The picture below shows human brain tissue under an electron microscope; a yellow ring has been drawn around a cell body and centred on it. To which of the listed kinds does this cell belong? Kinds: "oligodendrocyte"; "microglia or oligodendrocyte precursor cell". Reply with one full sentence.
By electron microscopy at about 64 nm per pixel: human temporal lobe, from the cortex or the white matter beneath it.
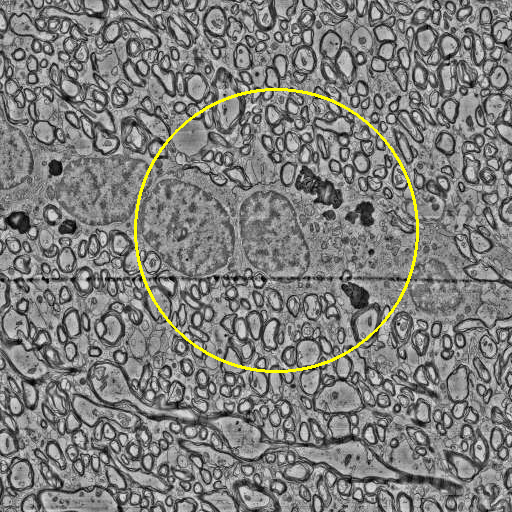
It is an oligodendrocyte that the yellow ring in the picture is centred on.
